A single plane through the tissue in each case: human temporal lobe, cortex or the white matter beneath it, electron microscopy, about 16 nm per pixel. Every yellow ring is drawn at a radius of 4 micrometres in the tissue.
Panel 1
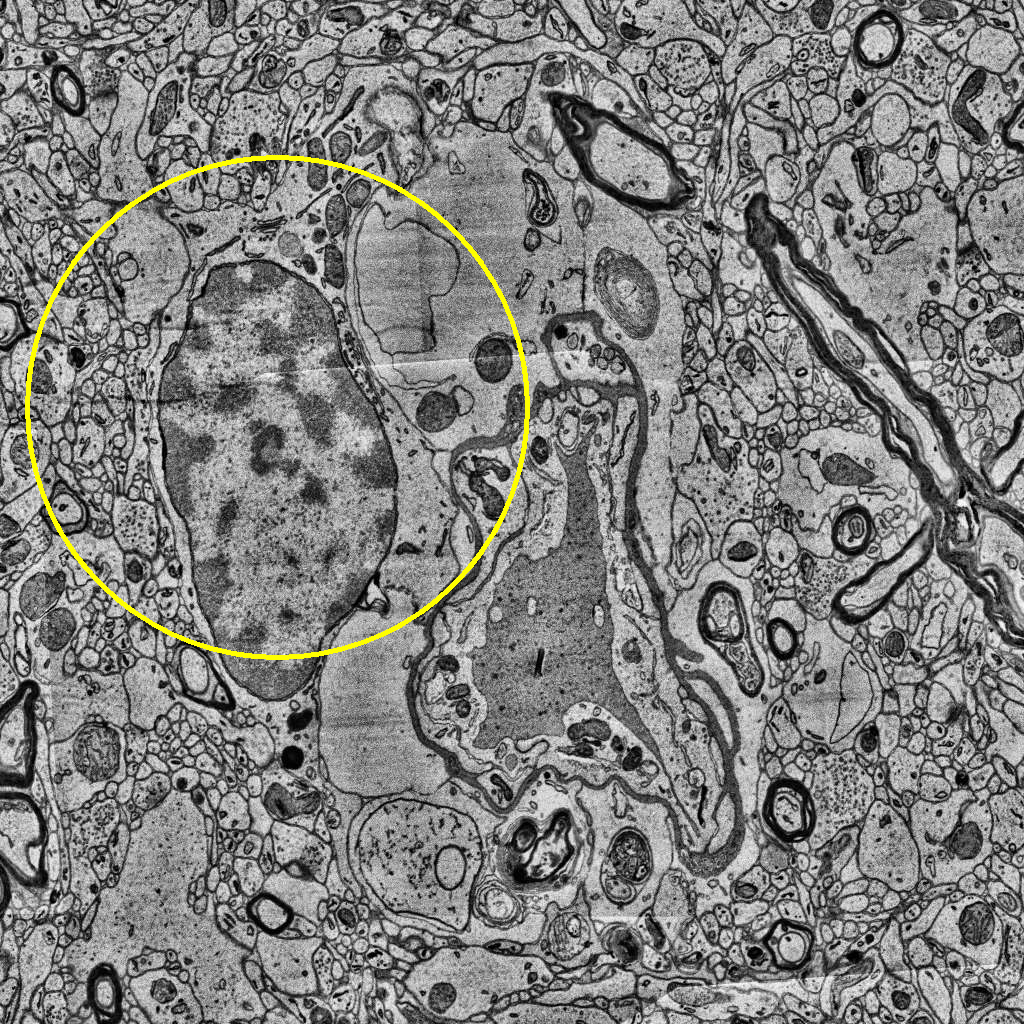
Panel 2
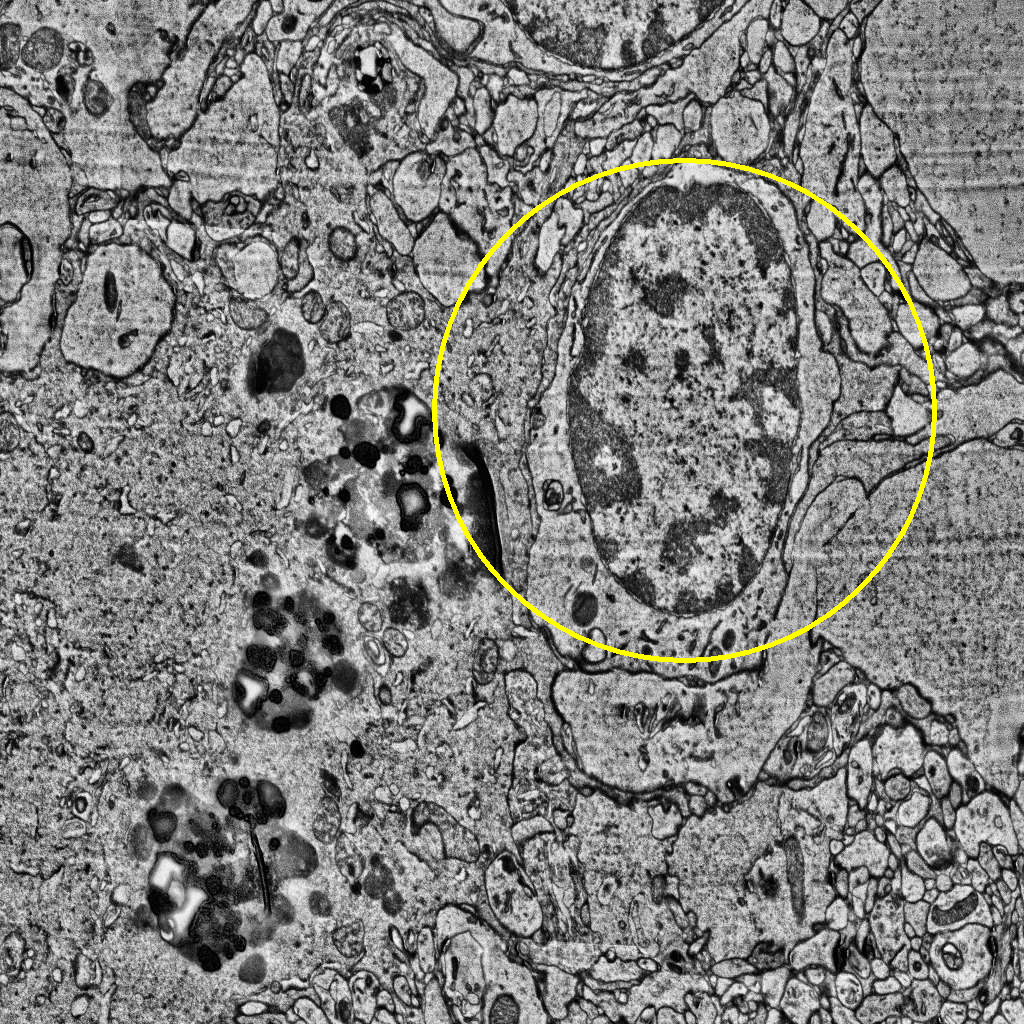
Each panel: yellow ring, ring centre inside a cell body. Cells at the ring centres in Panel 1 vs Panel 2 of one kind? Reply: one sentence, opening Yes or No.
Yes, Panel 1 and Panel 2 have cells of one kind at the ring centres.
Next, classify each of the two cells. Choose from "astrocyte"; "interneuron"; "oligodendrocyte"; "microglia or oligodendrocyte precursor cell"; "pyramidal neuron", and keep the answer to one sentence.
The cell in the first picture is a microglial cell or oligodendrocyte precursor cell, and so is the one in the second.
